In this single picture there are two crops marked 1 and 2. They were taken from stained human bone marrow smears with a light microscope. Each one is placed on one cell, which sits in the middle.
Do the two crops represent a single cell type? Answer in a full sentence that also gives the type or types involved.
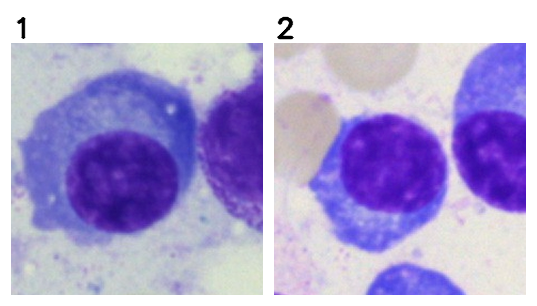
Yes, the cells at the centres of the two crops are plasma cells.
